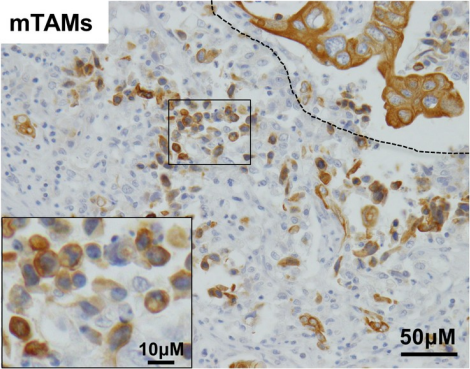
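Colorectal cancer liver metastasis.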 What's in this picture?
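Invasive front of a tumor, marked by a dashed line, with tumor tissue in the upper right and non-tumor tissue below. Above the line a cluster of large epithelial tumor cells with large nuclei shows strong brown membranous and cytoplasmic staining. Below the line numerous round to irregular brown-stained cells with ample cytoplasm and blue nuclei gather near the front, mixed with many small unstained cells with dark round nuclei.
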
